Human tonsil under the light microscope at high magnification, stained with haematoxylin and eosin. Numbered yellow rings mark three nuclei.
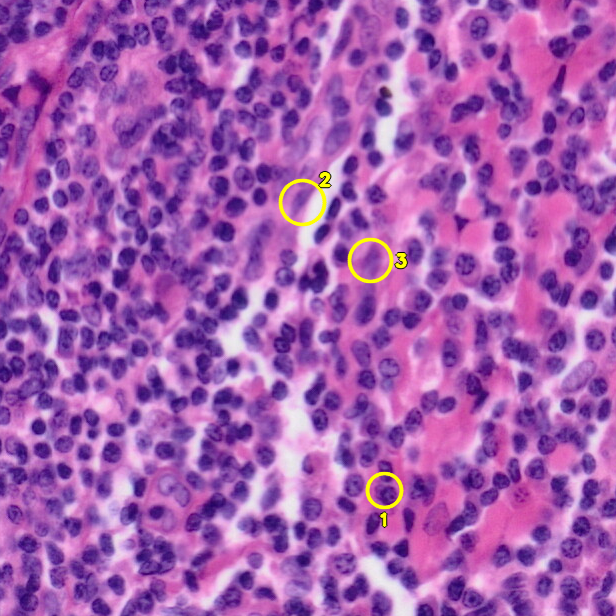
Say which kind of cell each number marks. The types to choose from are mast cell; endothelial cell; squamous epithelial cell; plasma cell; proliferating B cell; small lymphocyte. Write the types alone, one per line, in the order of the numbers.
plasma cell
endothelial cell
endothelial cell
